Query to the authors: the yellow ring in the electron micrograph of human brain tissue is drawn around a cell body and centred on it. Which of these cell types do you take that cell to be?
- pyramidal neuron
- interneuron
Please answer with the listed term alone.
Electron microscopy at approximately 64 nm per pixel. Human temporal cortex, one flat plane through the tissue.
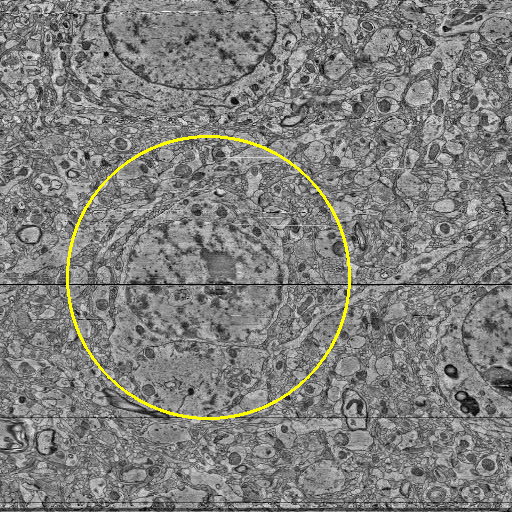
interneuron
